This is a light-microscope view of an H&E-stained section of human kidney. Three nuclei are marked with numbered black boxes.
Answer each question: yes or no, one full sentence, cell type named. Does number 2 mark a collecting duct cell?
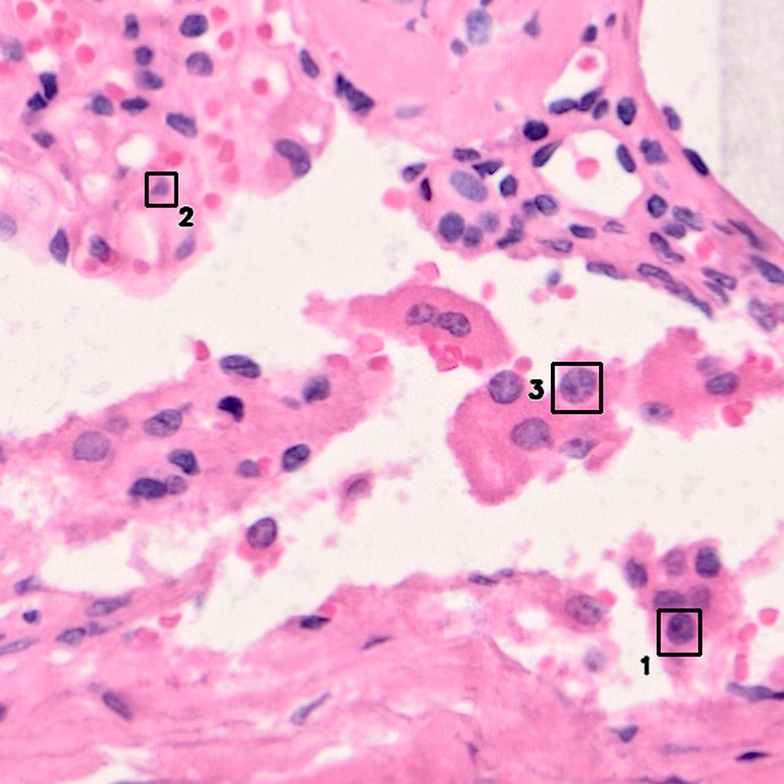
No, the cell tagged 2 is an endothelial cell, not a collecting duct cell.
